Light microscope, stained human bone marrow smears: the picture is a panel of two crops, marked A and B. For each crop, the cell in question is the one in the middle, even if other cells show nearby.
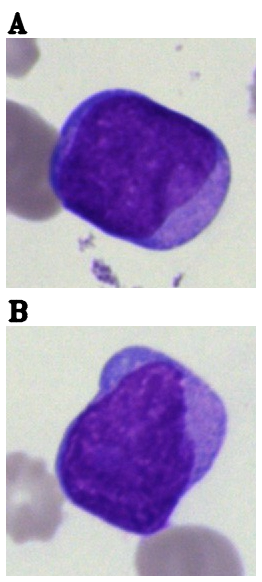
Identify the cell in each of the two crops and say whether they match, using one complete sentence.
Yes, both crops show blasts, to put it briefly.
